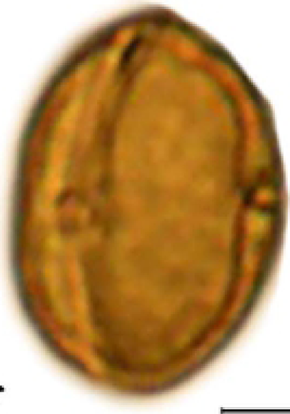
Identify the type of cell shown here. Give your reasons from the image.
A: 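A single oval grain with a thick, smooth outer wall. A long furrow runs along the length of the grain. That points to this answer: pollen grains.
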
